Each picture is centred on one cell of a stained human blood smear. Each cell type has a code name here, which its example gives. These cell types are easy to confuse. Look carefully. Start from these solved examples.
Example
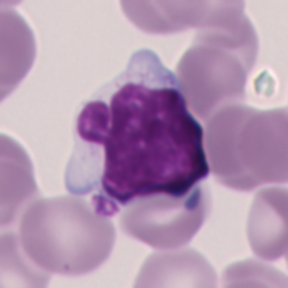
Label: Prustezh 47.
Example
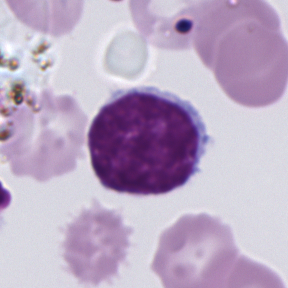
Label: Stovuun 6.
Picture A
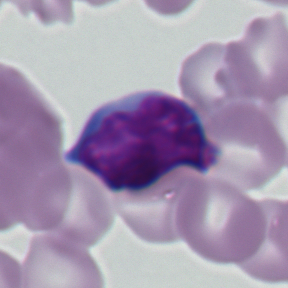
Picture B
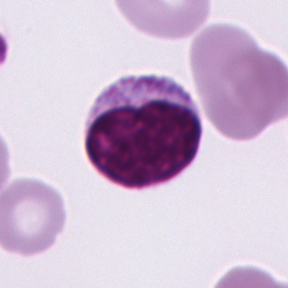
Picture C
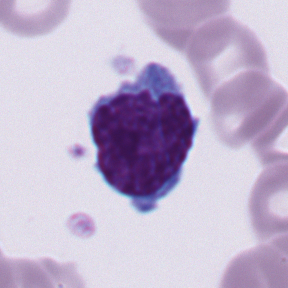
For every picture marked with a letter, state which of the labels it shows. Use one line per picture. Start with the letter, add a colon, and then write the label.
A: Stovuun 6.
B: Prustezh 47.
C: Stovuun 6.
